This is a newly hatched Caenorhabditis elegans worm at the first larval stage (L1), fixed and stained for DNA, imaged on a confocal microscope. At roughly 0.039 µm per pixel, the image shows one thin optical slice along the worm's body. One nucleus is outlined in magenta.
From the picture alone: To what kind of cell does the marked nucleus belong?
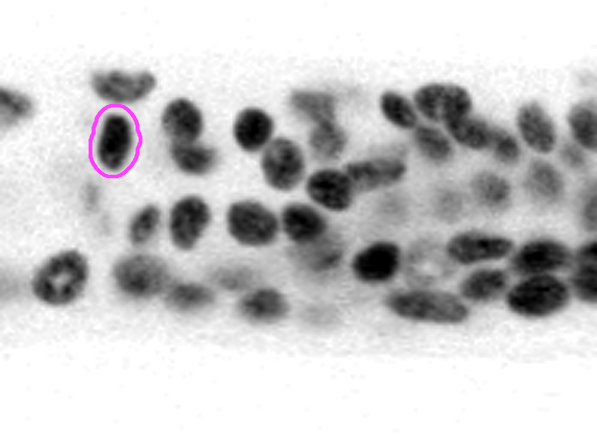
valve cell of the gut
